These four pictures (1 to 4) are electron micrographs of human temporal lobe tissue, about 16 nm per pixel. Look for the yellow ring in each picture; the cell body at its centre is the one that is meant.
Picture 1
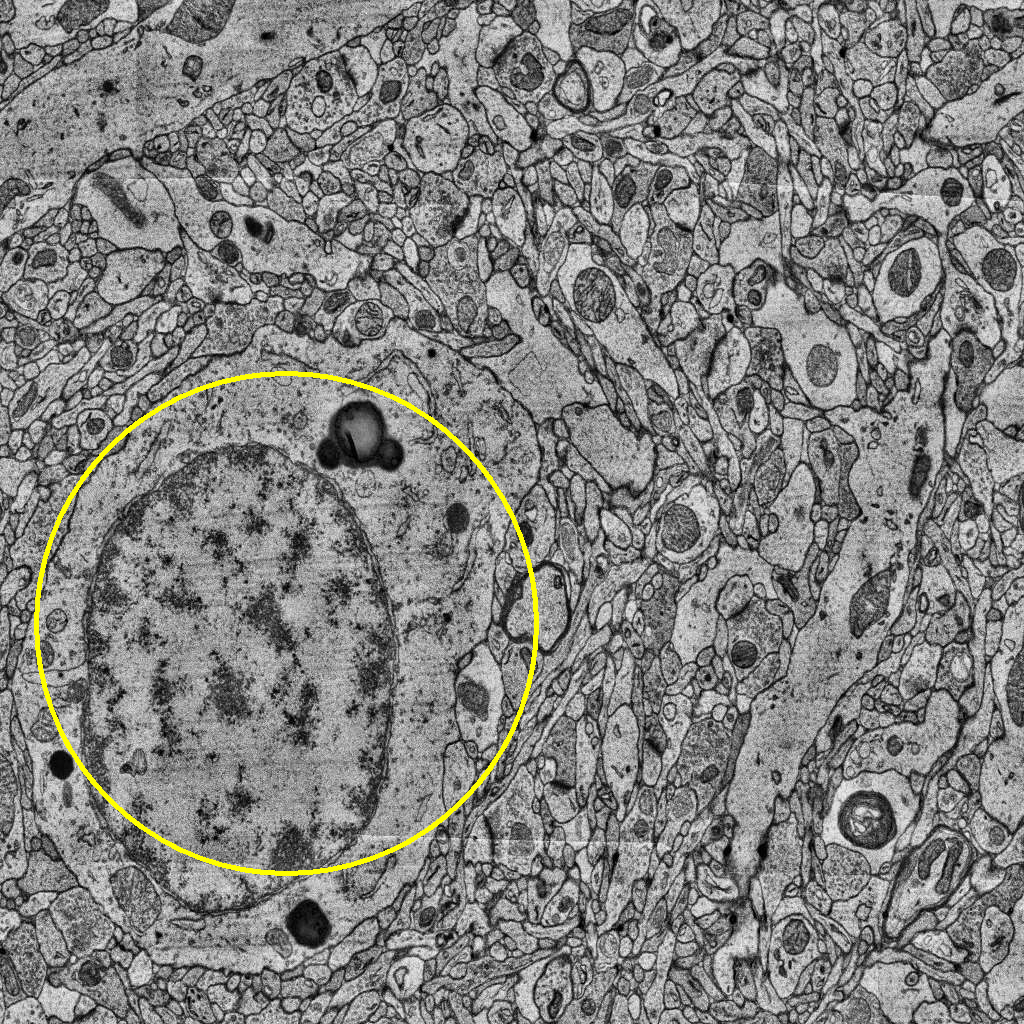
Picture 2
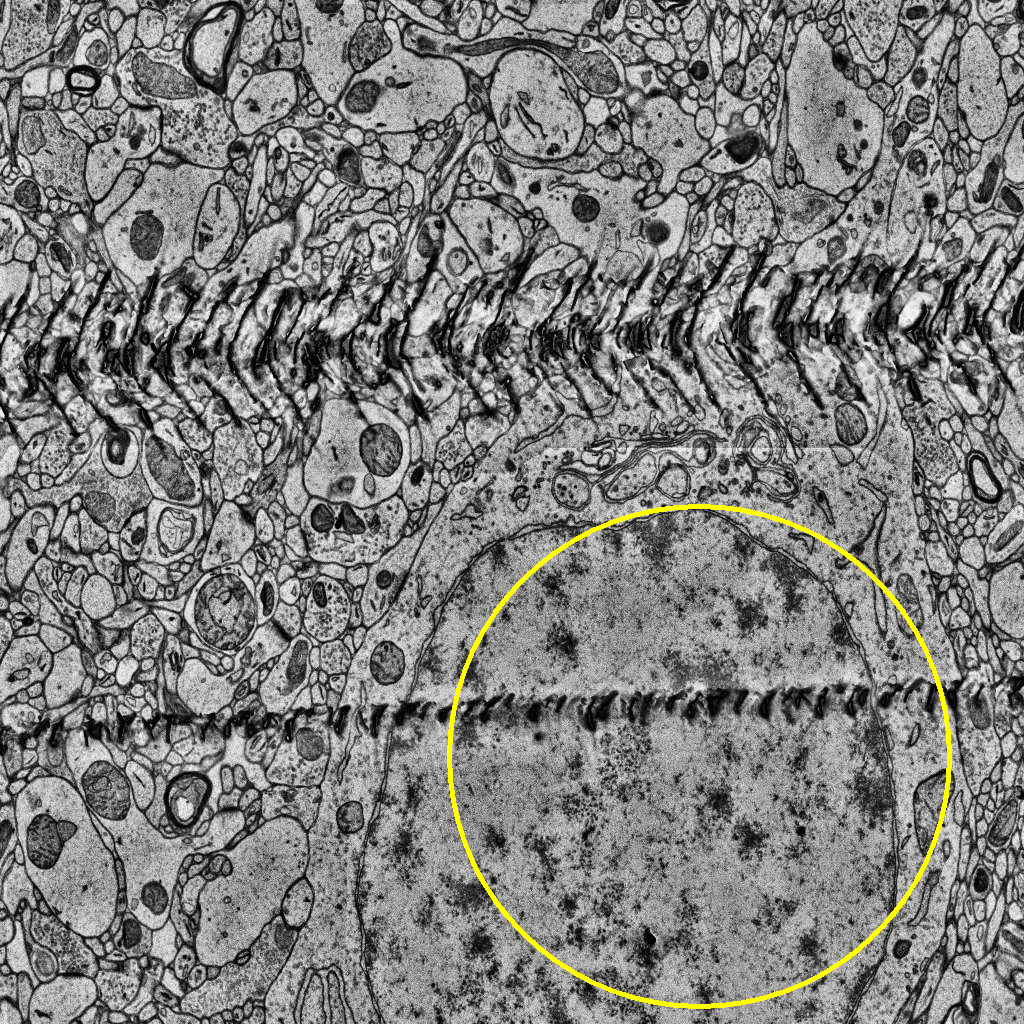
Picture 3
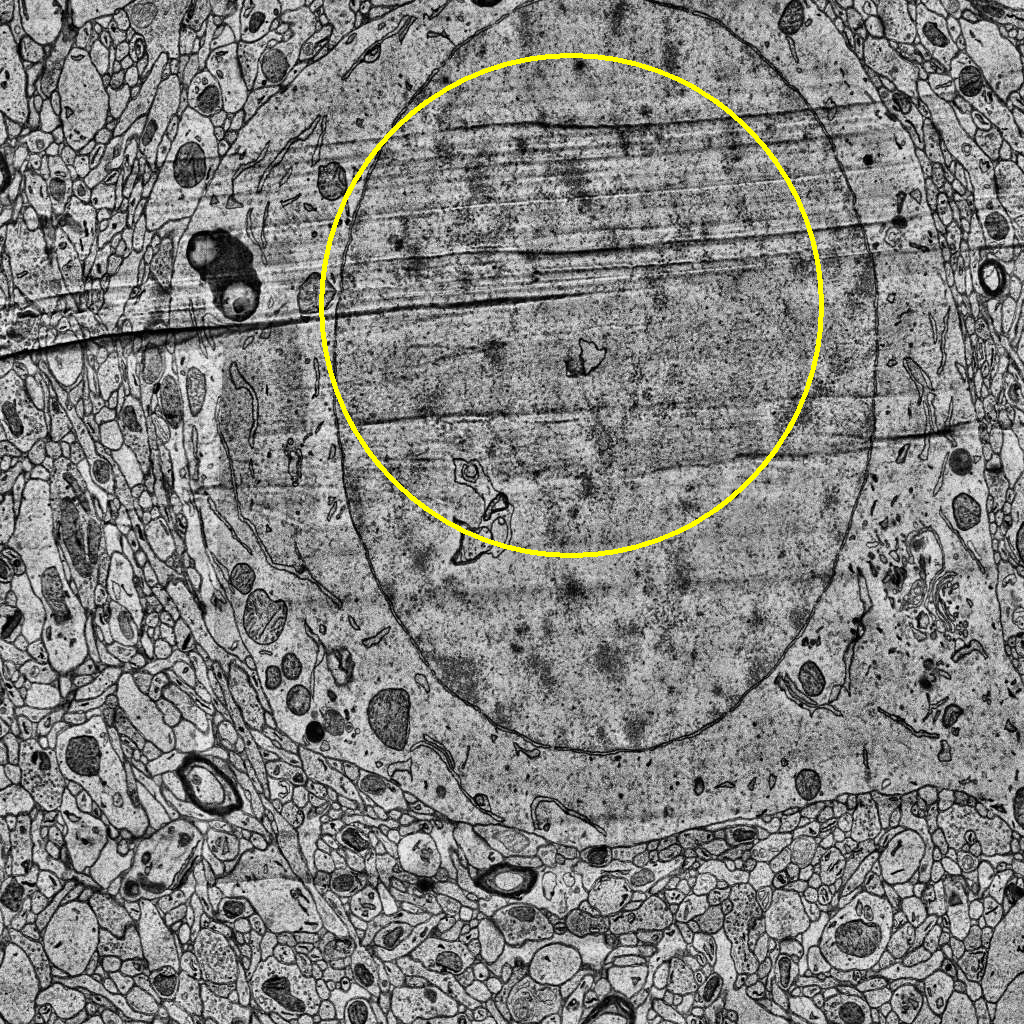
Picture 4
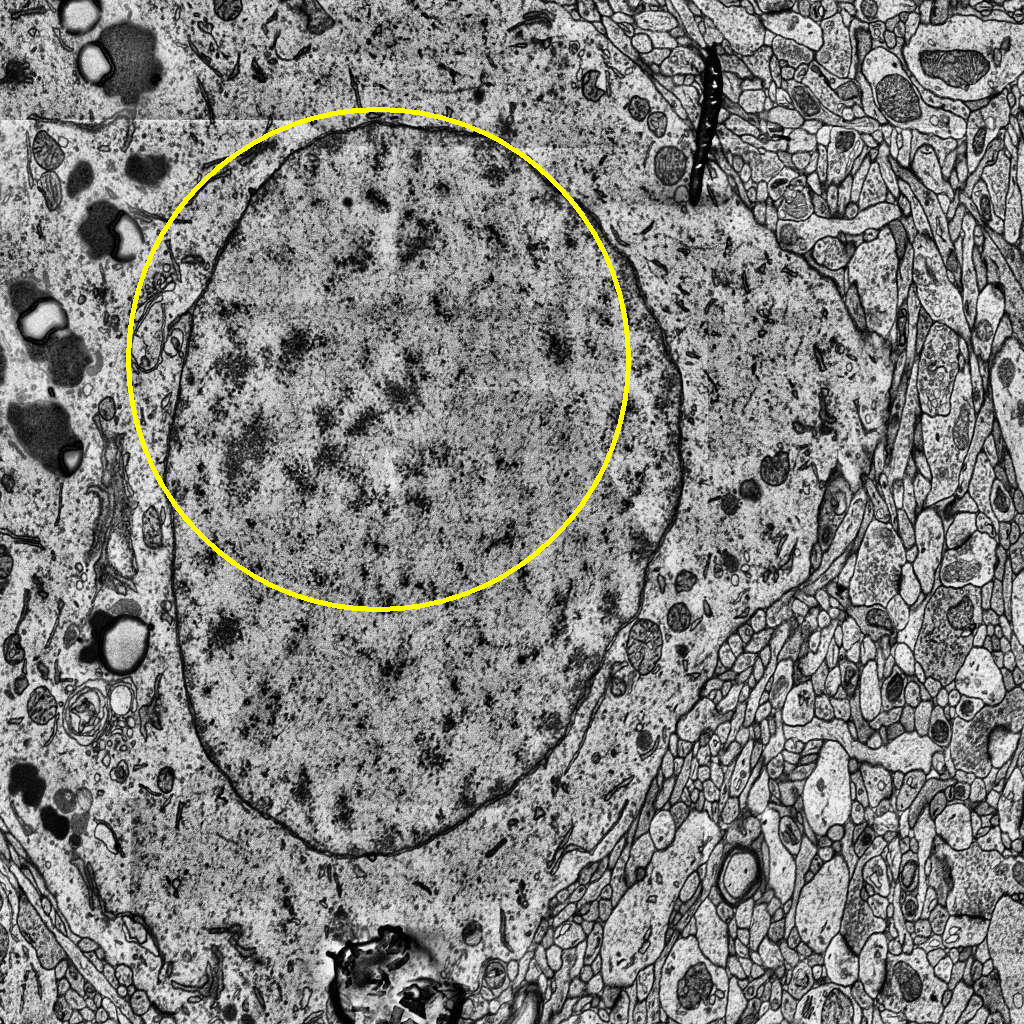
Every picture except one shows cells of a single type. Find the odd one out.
Unlike the rest, which show pyramidal neurons, picture 2 shows an interneuron.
